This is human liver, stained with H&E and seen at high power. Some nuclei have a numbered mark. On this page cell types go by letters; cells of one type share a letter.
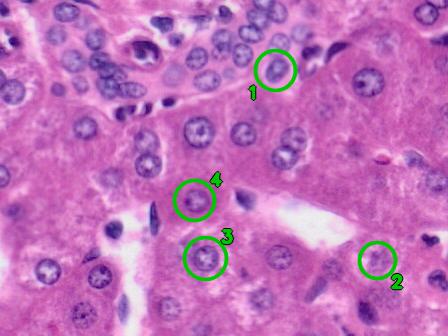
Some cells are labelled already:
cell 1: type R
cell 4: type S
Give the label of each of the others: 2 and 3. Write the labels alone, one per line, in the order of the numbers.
type S
type S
